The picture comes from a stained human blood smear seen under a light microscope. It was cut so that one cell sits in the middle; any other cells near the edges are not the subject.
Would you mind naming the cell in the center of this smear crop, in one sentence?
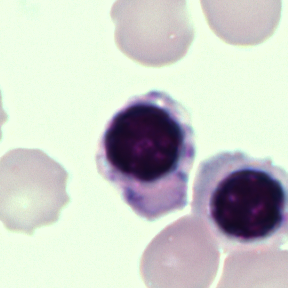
Here the cell in the middle is a normoblast.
